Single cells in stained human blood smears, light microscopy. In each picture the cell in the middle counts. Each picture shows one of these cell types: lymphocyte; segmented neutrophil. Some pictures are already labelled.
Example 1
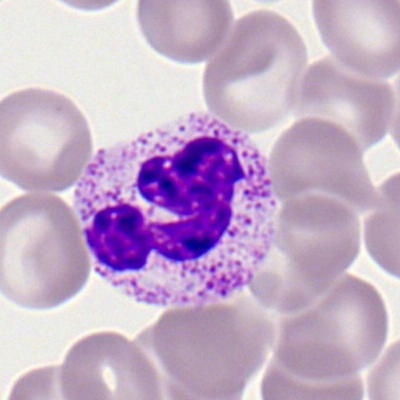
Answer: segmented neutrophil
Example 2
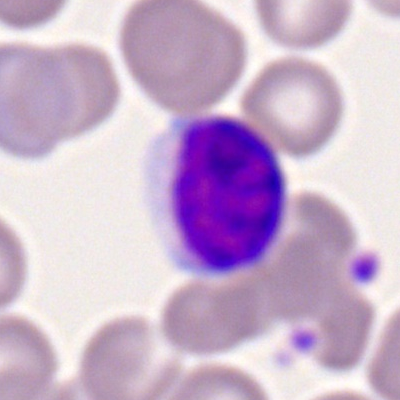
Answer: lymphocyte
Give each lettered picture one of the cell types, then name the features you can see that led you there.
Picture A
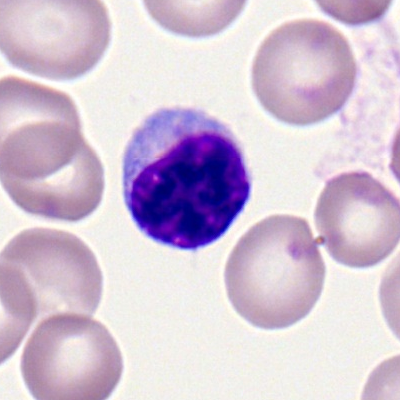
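lymphocyte. The nucleus fills most of the cell.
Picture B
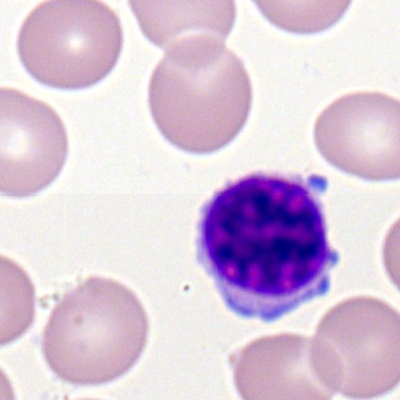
lymphocyte. The cytoplasm is scant, forming only a narrow rim around the nucleus.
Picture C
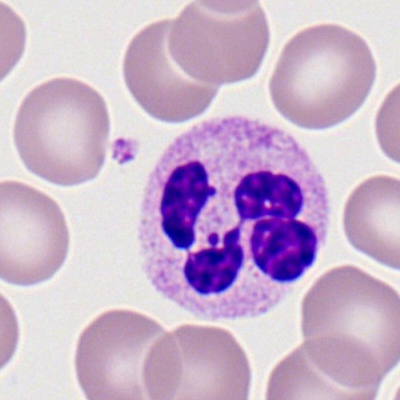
segmented neutrophil. The cytoplasm is plentiful and pale pinkish-lilac.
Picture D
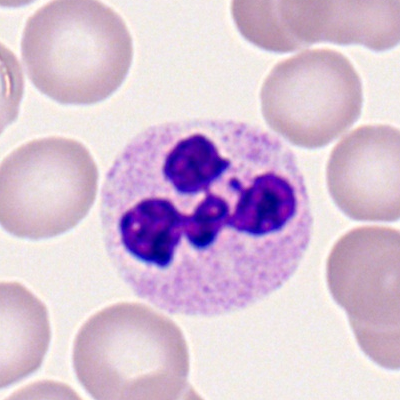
segmented neutrophil. The cytoplasm is plentiful and pale pinkish-lilac.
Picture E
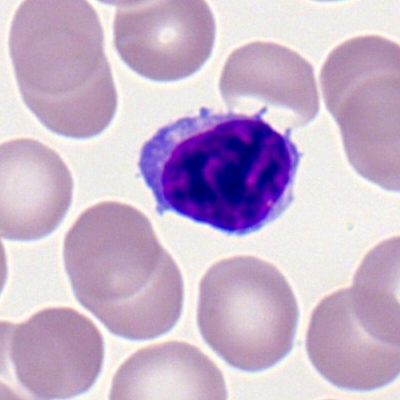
lymphocyte. The cytoplasm is scant, forming a narrow rim that is widest on the left side of the nucleus.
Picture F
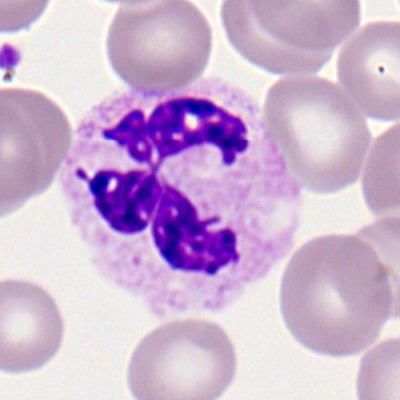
segmented neutrophil. The cytoplasm is abundant and pale pink-lilac.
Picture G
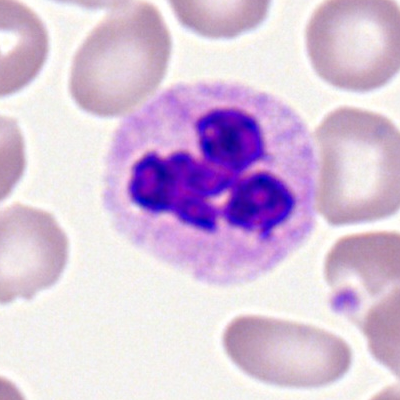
segmented neutrophil. The cytoplasm is plentiful and pale pinkish-lilac.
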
